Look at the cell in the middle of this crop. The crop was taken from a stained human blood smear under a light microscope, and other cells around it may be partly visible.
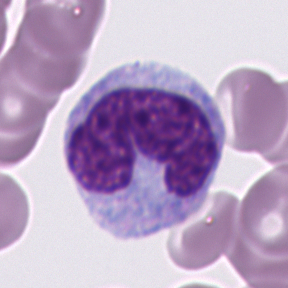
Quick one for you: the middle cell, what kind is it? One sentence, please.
The cell at the heart of this crop is a monocyte.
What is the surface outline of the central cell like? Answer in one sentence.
There are no projections here; the outline is simply smooth.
